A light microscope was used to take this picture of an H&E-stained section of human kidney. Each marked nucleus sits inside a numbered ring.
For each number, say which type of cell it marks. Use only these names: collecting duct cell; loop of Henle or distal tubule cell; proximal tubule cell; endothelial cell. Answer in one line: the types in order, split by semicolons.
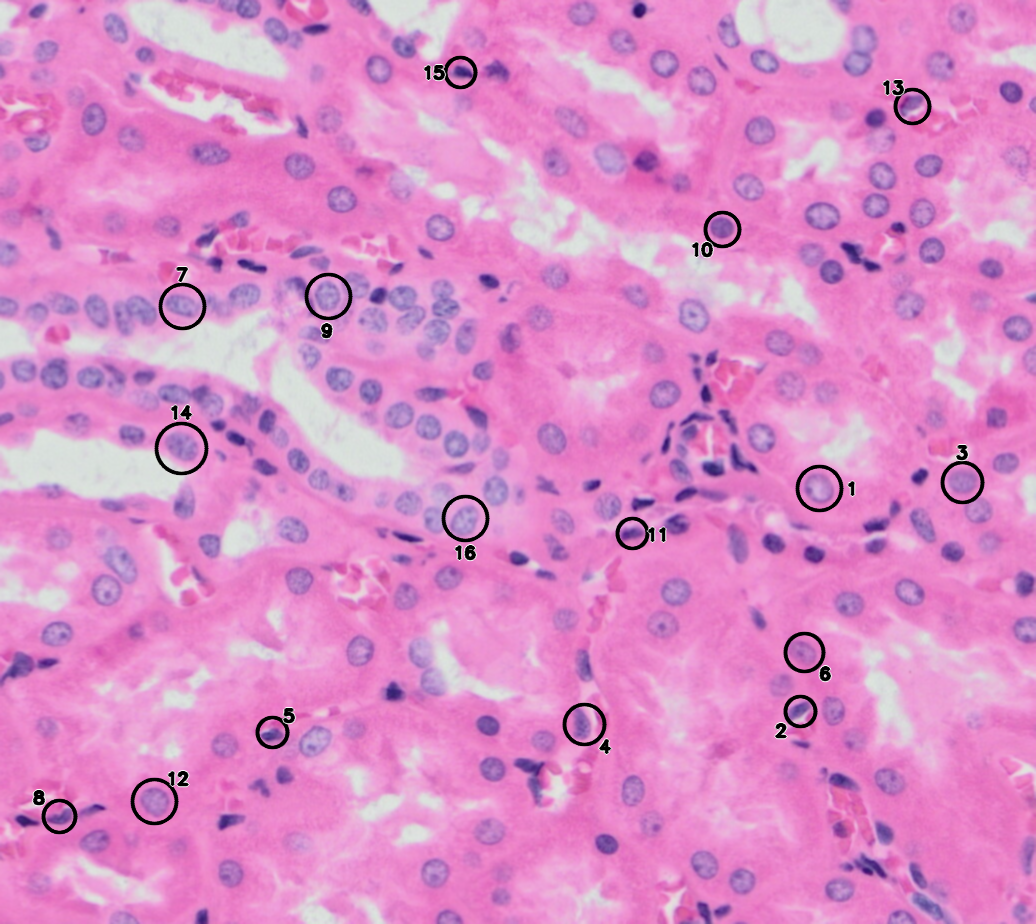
proximal tubule cell; endothelial cell; proximal tubule cell; endothelial cell; endothelial cell; proximal tubule cell; collecting duct cell; endothelial cell; collecting duct cell; proximal tubule cell; loop of Henle or distal tubule cell; proximal tubule cell; endothelial cell; loop of Henle or distal tubule cell; endothelial cell; collecting duct cell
